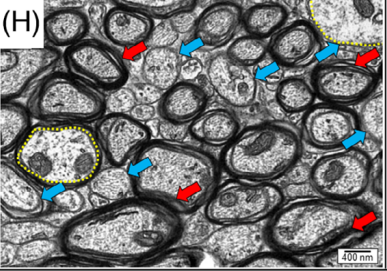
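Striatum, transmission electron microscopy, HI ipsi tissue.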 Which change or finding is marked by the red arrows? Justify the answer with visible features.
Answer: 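Uncompact myelin. The red arrows point at myelin sheaths whose dark layers are split apart by pale gaps.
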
